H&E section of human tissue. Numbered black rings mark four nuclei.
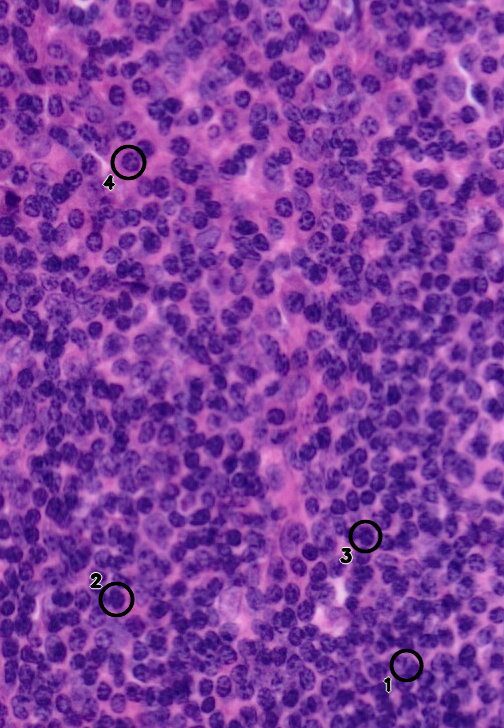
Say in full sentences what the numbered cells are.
Cell 1 is a small lymphocyte, cell 2 is a small lymphocyte, cell 3 is a small lymphocyte and cell 4 is a plasma cell.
